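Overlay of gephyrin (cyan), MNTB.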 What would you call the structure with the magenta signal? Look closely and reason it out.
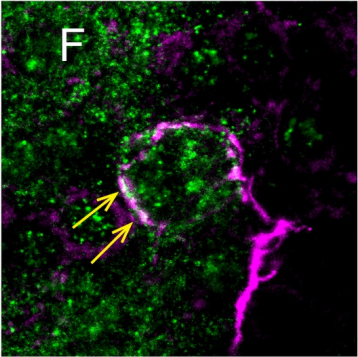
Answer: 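The band follows the edge of the round profile. On this evidence: axonal ending.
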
